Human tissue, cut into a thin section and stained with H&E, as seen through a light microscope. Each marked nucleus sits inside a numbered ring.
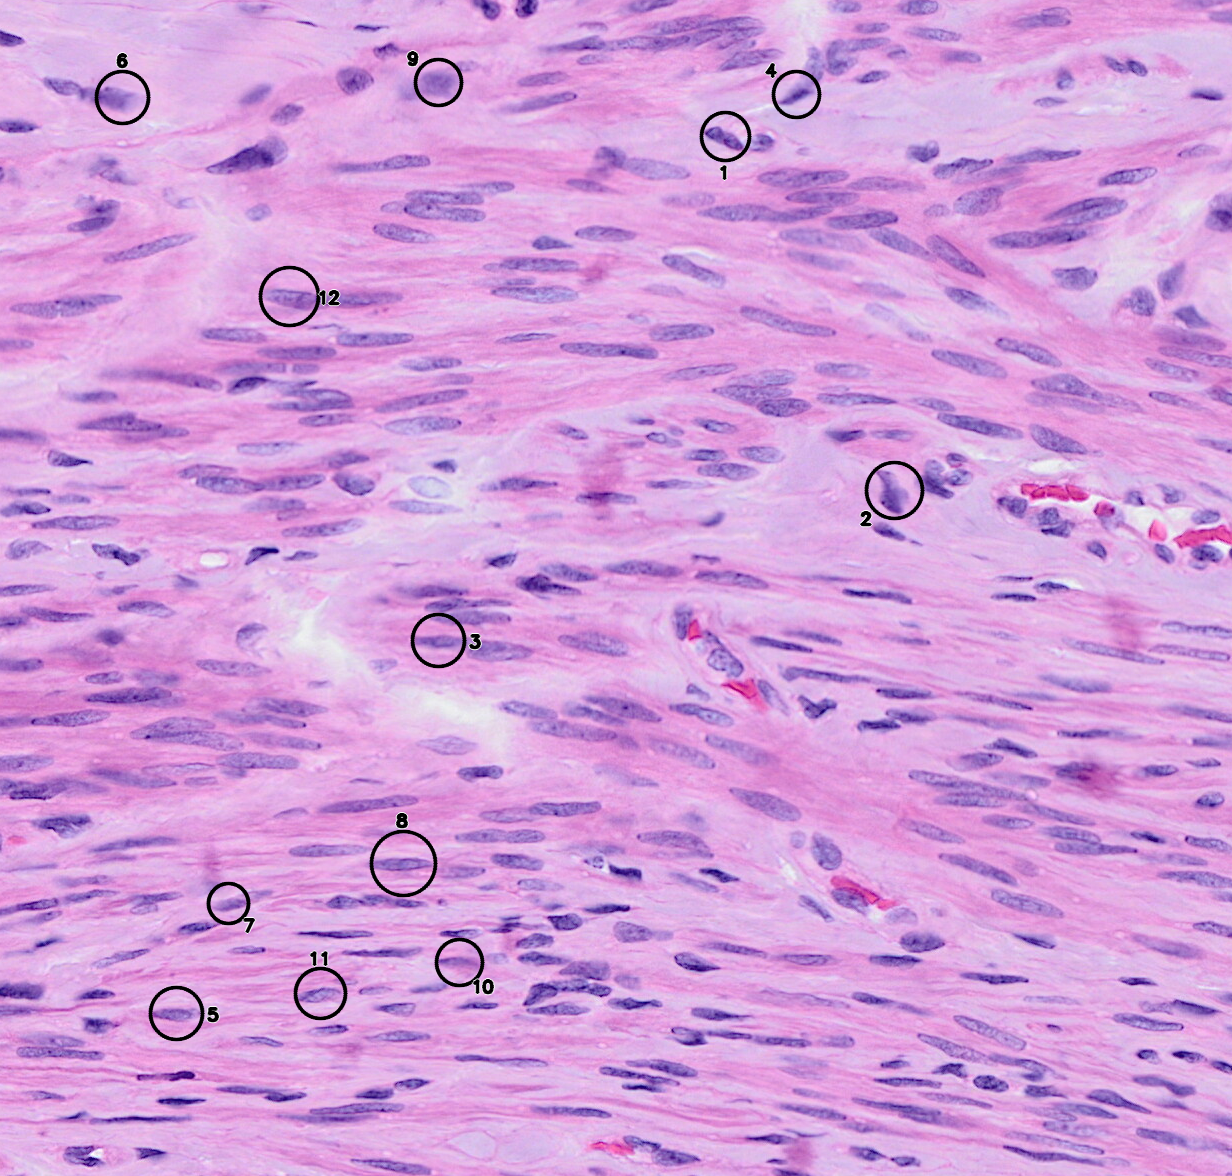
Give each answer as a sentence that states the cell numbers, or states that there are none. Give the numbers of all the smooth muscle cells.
The cells carrying the numbers 3, 5, 7, 8, 10, 11 and 12 are smooth muscle cells.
